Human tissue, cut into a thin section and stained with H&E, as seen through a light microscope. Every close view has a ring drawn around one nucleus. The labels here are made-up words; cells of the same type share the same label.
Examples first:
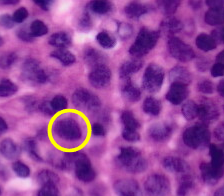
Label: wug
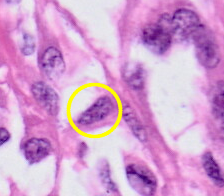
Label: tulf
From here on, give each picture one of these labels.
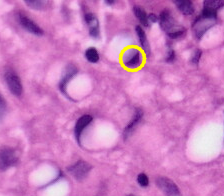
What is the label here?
wug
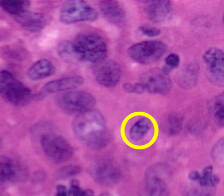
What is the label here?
wug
